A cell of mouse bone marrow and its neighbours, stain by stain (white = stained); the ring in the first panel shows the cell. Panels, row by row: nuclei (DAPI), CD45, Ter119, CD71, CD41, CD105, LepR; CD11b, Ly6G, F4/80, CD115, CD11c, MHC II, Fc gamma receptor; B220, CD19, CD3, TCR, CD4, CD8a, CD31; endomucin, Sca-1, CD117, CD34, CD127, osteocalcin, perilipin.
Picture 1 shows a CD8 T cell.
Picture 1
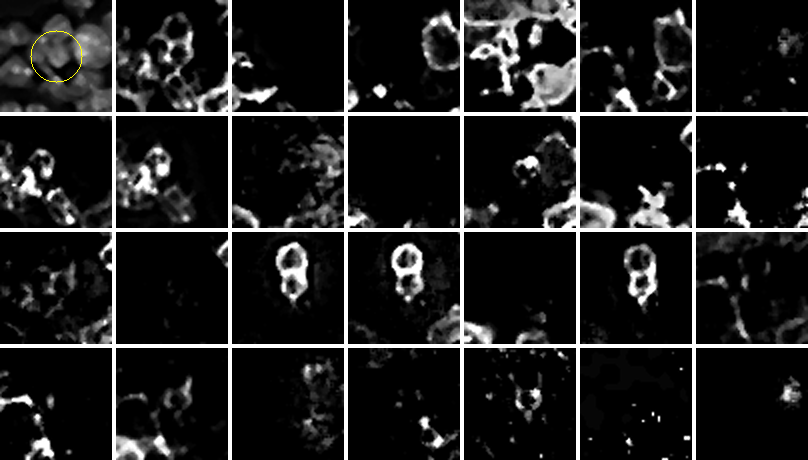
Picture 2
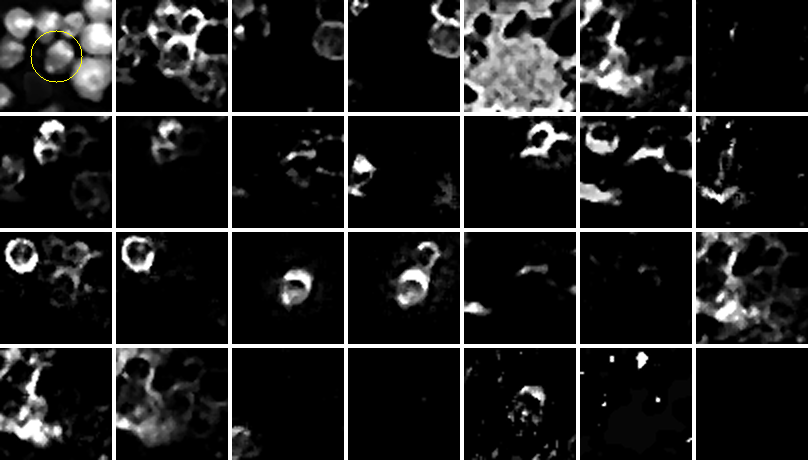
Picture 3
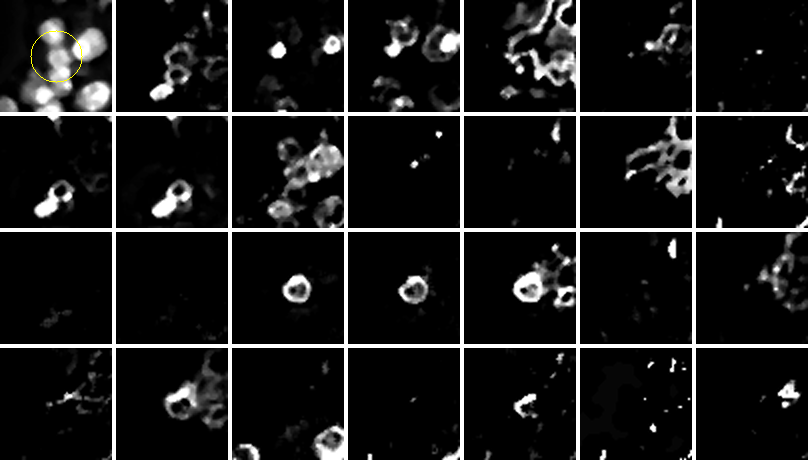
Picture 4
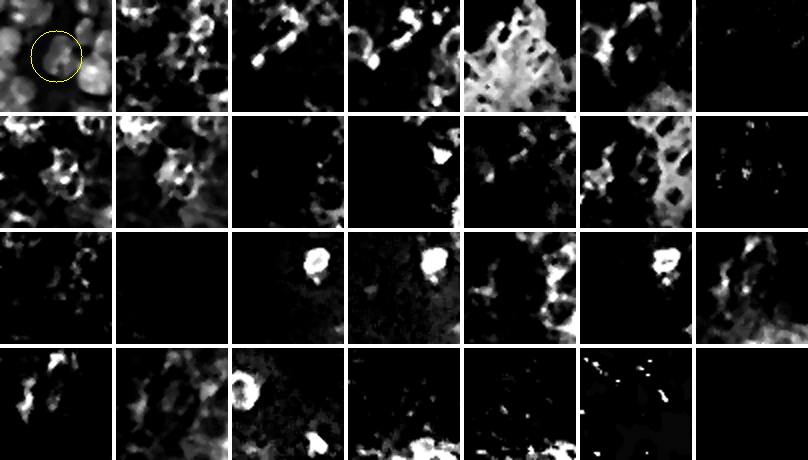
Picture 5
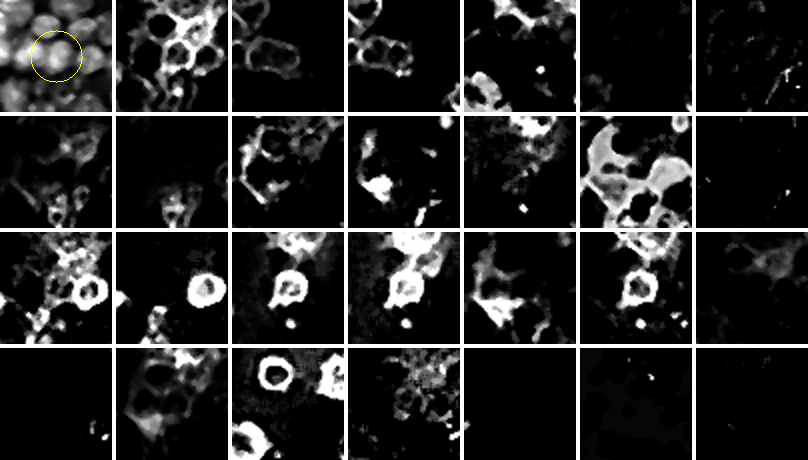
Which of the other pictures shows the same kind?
Picture 5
